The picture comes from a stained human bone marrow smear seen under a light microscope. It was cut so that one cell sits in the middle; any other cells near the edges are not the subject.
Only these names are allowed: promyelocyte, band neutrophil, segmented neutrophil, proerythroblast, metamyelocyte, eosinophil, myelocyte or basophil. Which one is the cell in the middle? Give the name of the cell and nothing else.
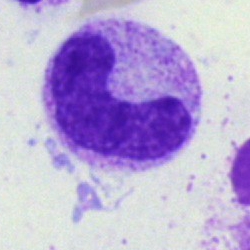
band neutrophil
